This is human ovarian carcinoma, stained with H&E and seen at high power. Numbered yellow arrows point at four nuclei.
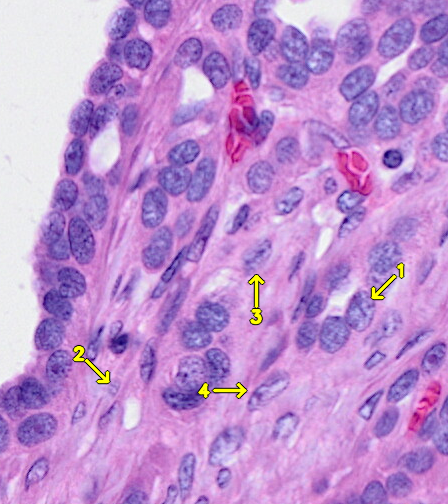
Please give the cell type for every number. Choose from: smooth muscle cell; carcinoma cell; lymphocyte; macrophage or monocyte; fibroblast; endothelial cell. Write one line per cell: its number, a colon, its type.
1: carcinoma cell
2: fibroblast
3: fibroblast
4: fibroblast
